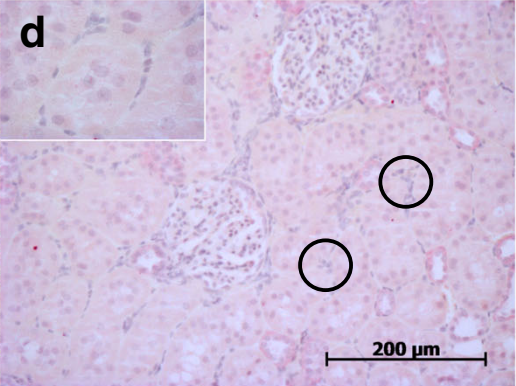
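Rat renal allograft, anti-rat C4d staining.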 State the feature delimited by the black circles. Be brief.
Peritubular capillaries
